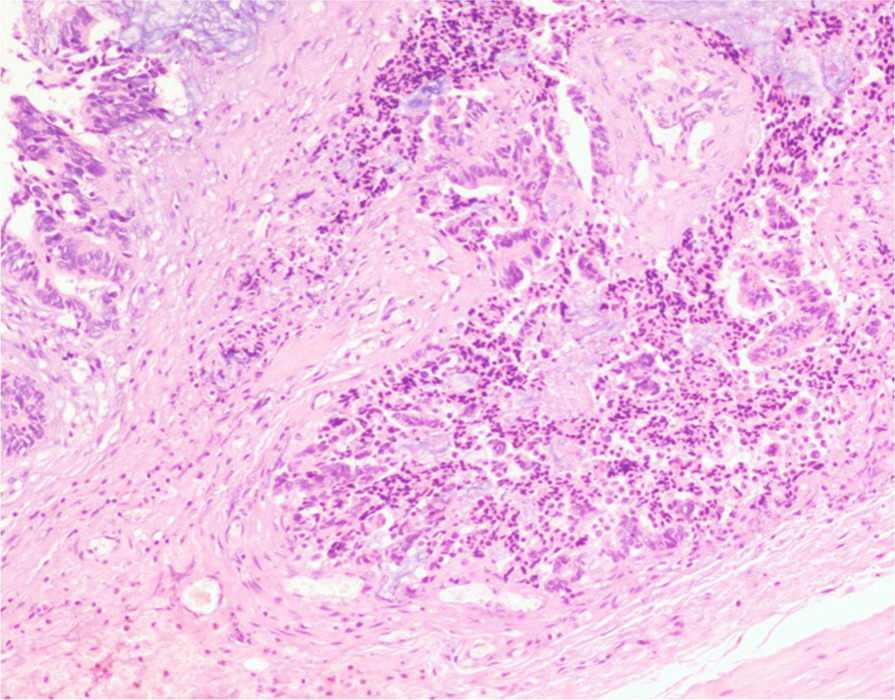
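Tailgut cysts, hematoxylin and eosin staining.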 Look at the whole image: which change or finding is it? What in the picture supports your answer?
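Carcinoma. Irregular, crowded glands lined by columnar cells with enlarged dark nuclei. The glands lie scattered within pink fibrous stroma rather than in an orderly layer. Dense clusters of dark nuclei fill the stroma between the glands.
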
